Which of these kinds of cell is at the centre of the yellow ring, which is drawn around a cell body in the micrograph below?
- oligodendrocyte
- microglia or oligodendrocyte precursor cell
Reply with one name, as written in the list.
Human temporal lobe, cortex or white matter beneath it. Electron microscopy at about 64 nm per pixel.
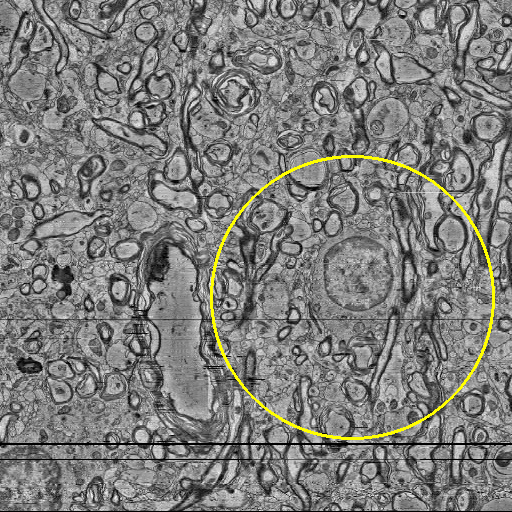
oligodendrocyte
